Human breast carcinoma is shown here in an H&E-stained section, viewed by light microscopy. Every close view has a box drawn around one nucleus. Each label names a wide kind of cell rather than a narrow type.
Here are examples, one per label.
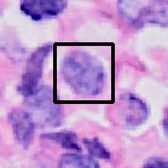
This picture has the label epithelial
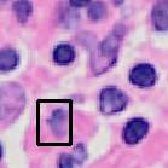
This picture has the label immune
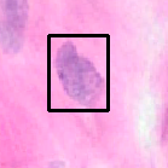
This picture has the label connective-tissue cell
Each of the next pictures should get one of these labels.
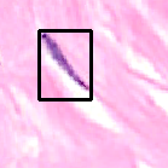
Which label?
connective-tissue cell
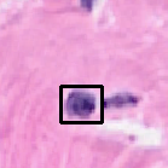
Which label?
immune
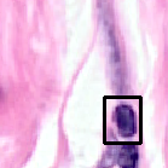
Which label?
immune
